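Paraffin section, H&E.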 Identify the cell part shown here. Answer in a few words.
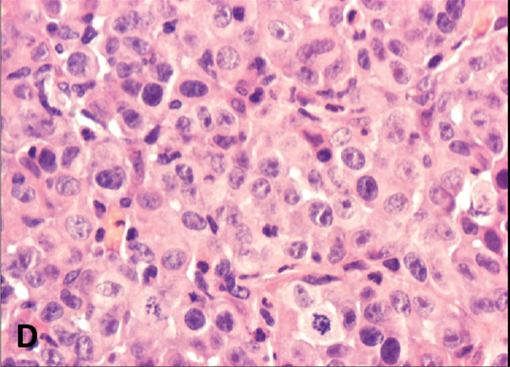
nucleoli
